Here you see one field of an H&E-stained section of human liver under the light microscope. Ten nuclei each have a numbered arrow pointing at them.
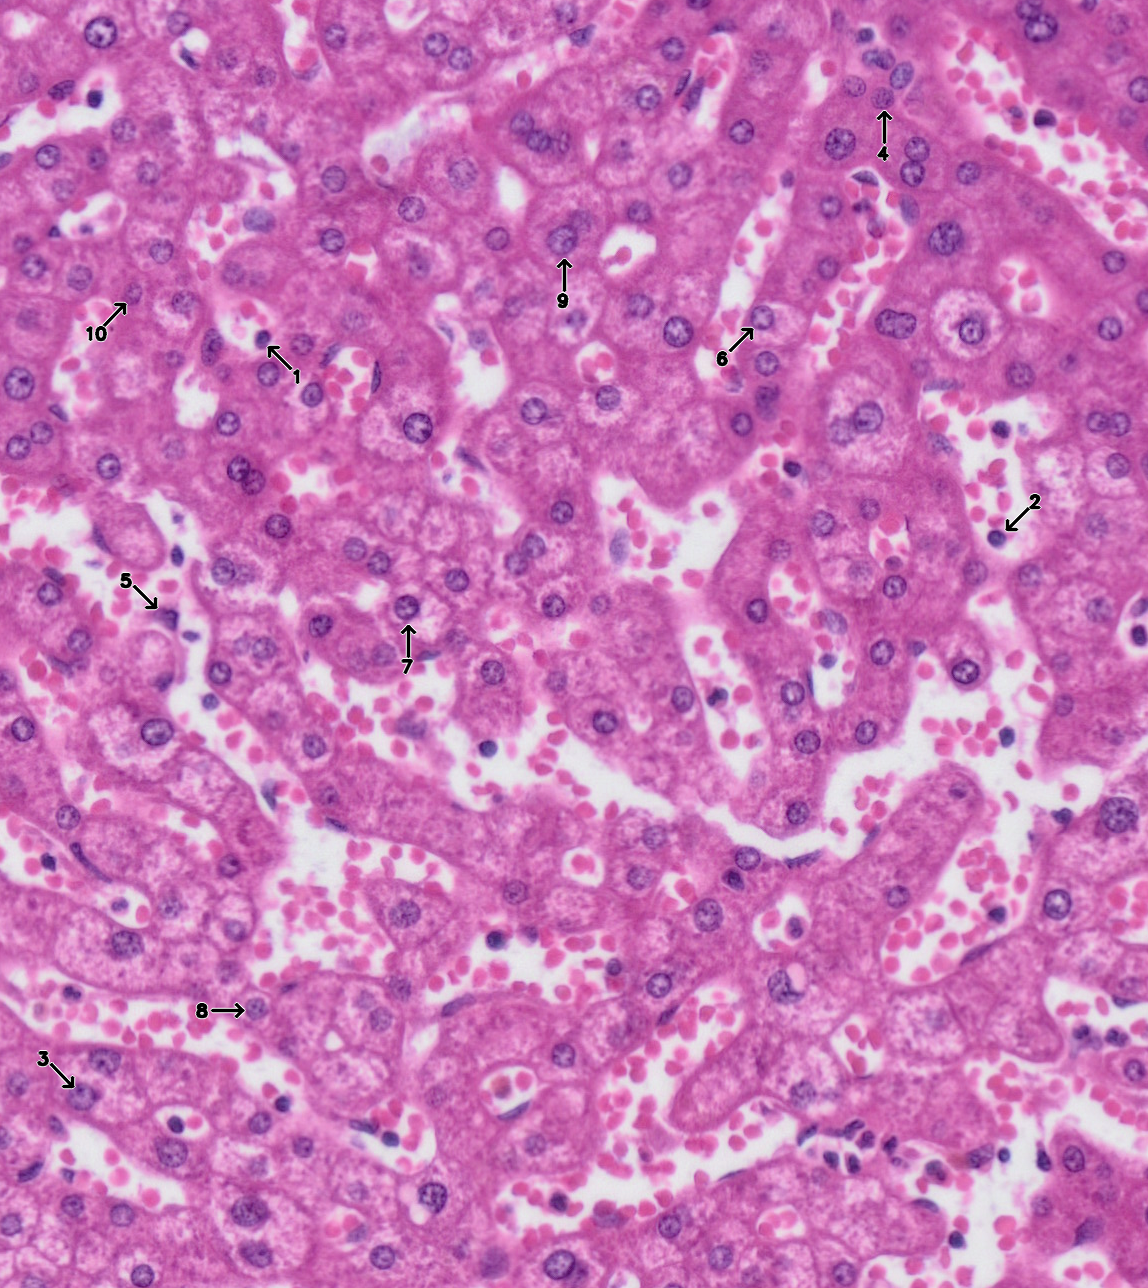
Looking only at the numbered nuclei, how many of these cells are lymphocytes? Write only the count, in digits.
2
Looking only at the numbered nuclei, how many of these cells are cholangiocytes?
1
